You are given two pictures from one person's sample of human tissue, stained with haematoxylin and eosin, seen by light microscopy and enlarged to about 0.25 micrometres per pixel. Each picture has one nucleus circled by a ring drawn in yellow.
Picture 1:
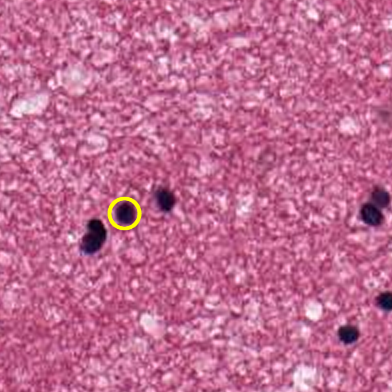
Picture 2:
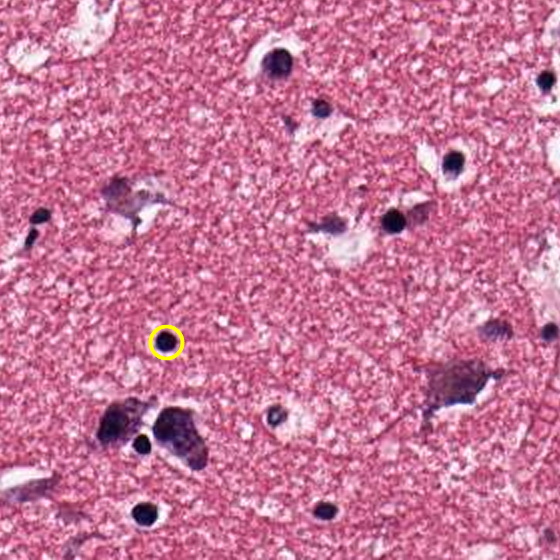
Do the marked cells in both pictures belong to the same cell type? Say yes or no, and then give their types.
Yes, both are oligodendrocytes.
